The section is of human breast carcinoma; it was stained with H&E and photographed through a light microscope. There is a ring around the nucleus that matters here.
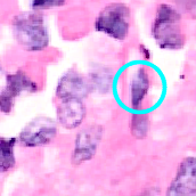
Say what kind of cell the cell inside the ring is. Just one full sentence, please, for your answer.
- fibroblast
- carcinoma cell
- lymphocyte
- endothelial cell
In the stained section, the cell inside the ring is an endothelial cell.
